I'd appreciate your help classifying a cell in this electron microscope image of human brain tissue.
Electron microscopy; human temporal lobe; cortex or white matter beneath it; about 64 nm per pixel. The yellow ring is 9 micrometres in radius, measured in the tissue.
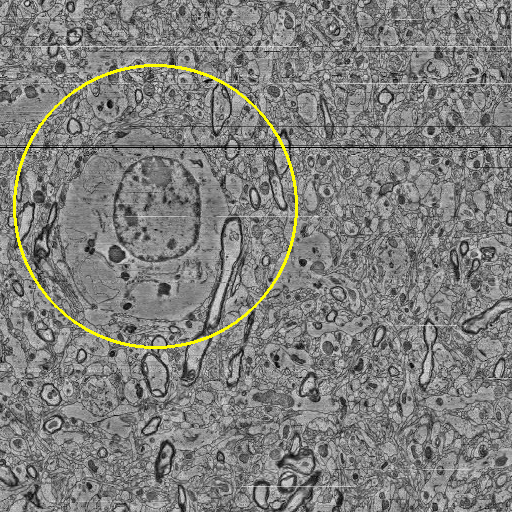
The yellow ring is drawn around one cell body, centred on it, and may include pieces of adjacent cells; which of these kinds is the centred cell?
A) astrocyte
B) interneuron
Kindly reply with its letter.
A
